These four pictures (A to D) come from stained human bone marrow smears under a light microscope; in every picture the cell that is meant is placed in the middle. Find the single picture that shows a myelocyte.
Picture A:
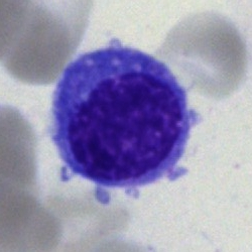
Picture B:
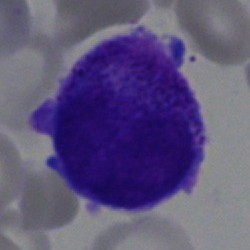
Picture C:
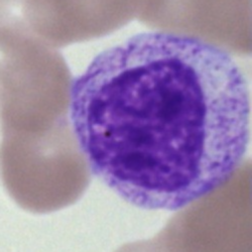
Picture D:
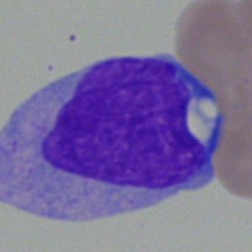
C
